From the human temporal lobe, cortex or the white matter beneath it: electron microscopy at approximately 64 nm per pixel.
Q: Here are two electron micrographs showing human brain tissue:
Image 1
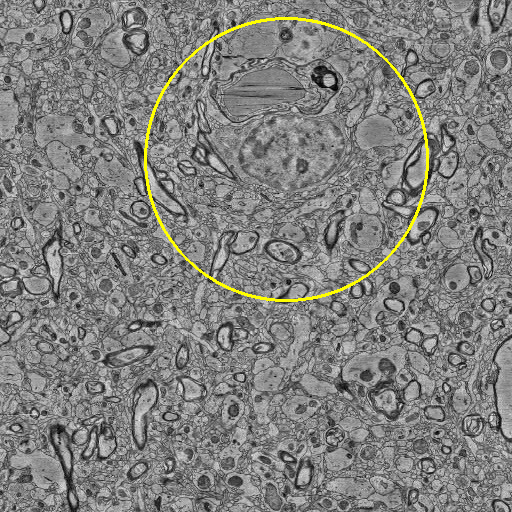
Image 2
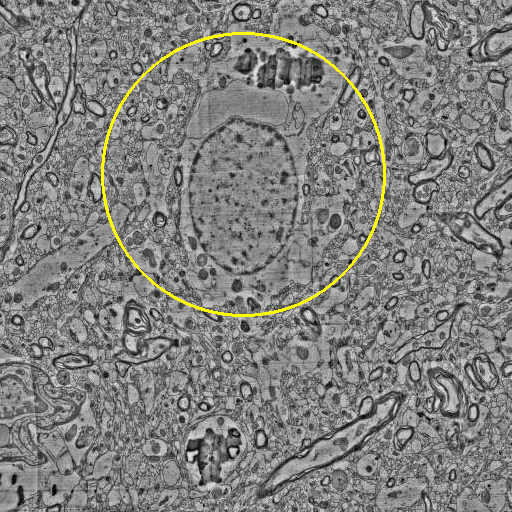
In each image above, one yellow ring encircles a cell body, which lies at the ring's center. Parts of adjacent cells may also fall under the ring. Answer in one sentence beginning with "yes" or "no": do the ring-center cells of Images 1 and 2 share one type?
No, in Images 1 and 2, the ring-center cells are of two types.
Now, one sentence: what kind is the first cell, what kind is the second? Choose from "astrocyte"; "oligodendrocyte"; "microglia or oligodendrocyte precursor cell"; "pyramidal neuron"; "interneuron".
The first picture has an oligodendrocyte at its ring centre, and the second has an astrocyte.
